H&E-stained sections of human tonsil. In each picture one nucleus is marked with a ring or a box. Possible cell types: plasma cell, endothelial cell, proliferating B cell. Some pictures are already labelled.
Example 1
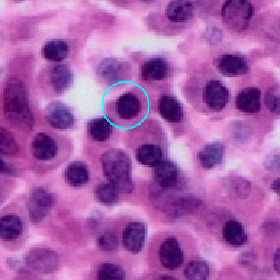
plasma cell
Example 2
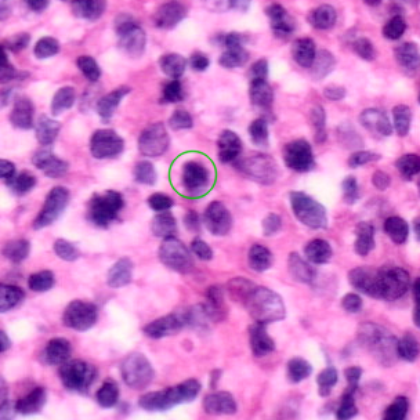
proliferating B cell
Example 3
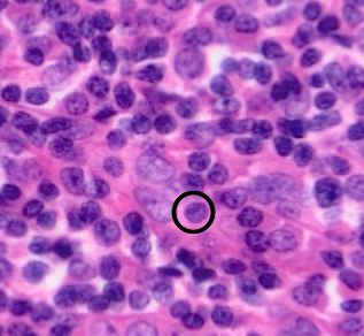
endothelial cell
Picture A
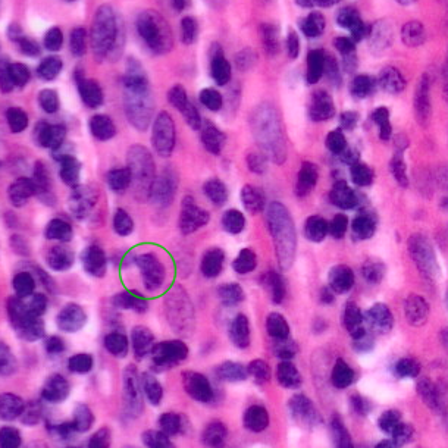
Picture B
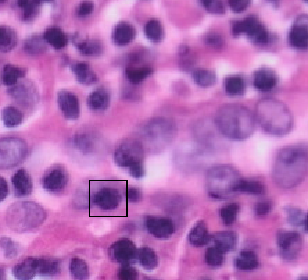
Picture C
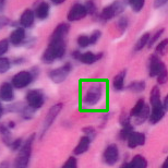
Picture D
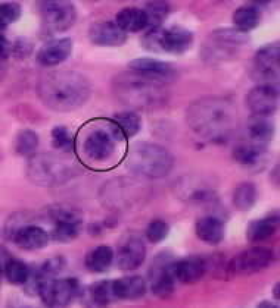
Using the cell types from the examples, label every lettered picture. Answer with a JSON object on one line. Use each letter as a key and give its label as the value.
{"A": "endothelial cell", "B": "endothelial cell", "C": "endothelial cell", "D": "endothelial cell"}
